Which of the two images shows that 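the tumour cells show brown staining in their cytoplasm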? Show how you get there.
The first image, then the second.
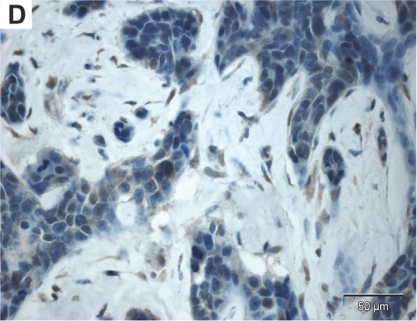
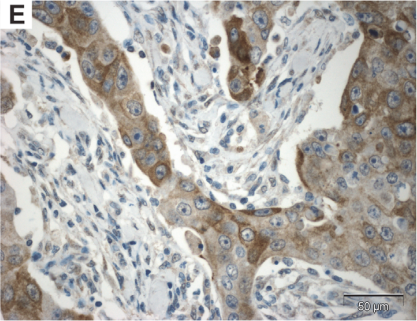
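Second image: the cytoplasm of the tumour cell sheets is light brown around blue nuclei. So: the second image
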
